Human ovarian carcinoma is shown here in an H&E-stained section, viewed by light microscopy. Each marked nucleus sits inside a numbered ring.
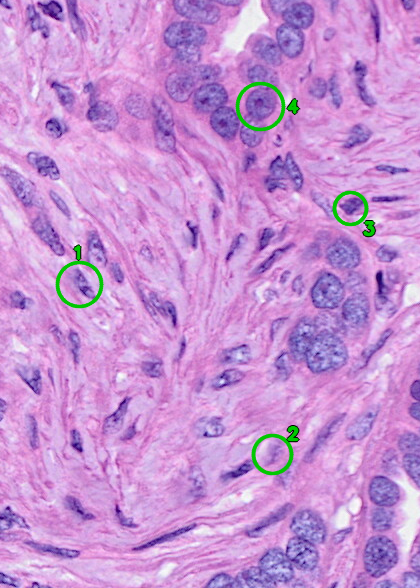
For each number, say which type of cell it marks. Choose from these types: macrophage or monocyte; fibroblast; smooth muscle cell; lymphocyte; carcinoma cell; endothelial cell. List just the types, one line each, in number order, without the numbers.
fibroblast
fibroblast
fibroblast
carcinoma cell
